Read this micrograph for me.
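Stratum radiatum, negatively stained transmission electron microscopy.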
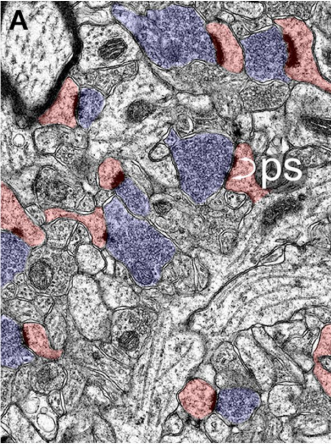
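The neuropil is a dense mosaic of small membrane-bound profiles cut in cross and oblique section, with scattered mitochondria and larger dendritic shafts. Blue-tinted bouton profiles are filled with many small, round, clear vesicles. Each is apposed to a pink-tinted spine profile, which is largely free of vesicles and shows a dark, thickened density along the membrane where it meets the bouton. Some of these dark densities appear interrupted rather than continuous. Boutons and spines occur as paired units distributed throughout the field between unlabelled axons, dendrites and glial processes.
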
